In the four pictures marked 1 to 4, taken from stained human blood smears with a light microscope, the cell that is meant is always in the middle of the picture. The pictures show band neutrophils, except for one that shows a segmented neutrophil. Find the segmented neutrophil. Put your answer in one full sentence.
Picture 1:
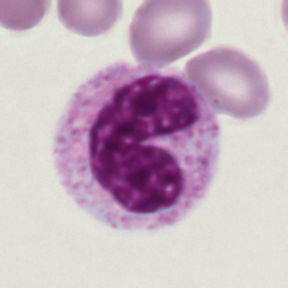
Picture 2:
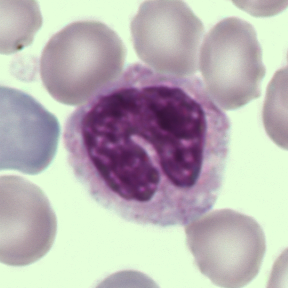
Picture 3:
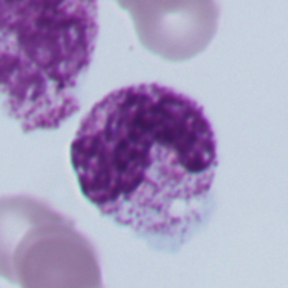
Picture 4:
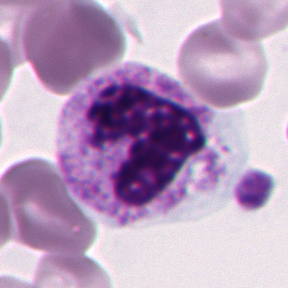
Picture 4 is the one that shows the segmented neutrophil.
